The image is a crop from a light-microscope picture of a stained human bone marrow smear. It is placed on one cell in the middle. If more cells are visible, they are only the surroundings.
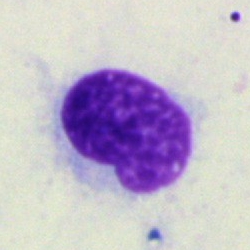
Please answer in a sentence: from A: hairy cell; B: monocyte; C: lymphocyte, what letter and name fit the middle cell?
At the centre of the crop lies a hairy cell, which makes option A correct.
